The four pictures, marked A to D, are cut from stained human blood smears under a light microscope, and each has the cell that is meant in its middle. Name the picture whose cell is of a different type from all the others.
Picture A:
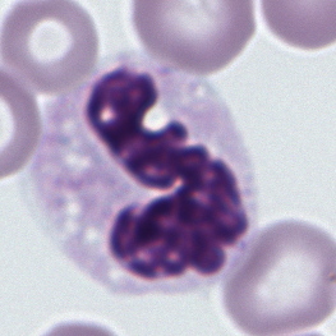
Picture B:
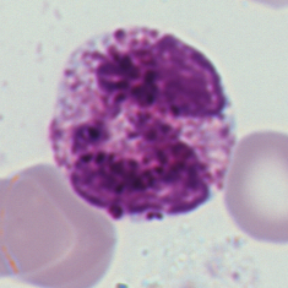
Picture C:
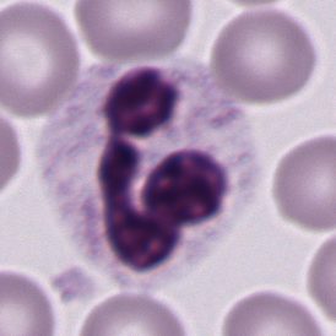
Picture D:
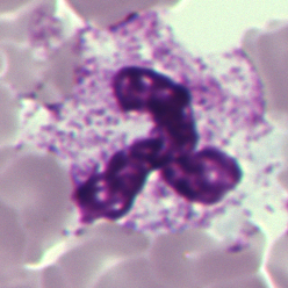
B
